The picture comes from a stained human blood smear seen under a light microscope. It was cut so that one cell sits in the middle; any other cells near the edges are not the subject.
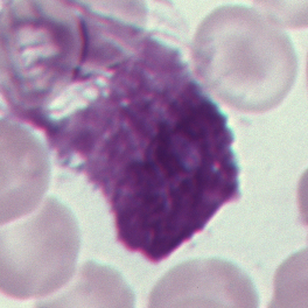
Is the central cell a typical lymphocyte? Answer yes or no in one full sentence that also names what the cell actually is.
No, a smudge cell, not a typical lymphocyte, is what sits in the centre of the crop.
